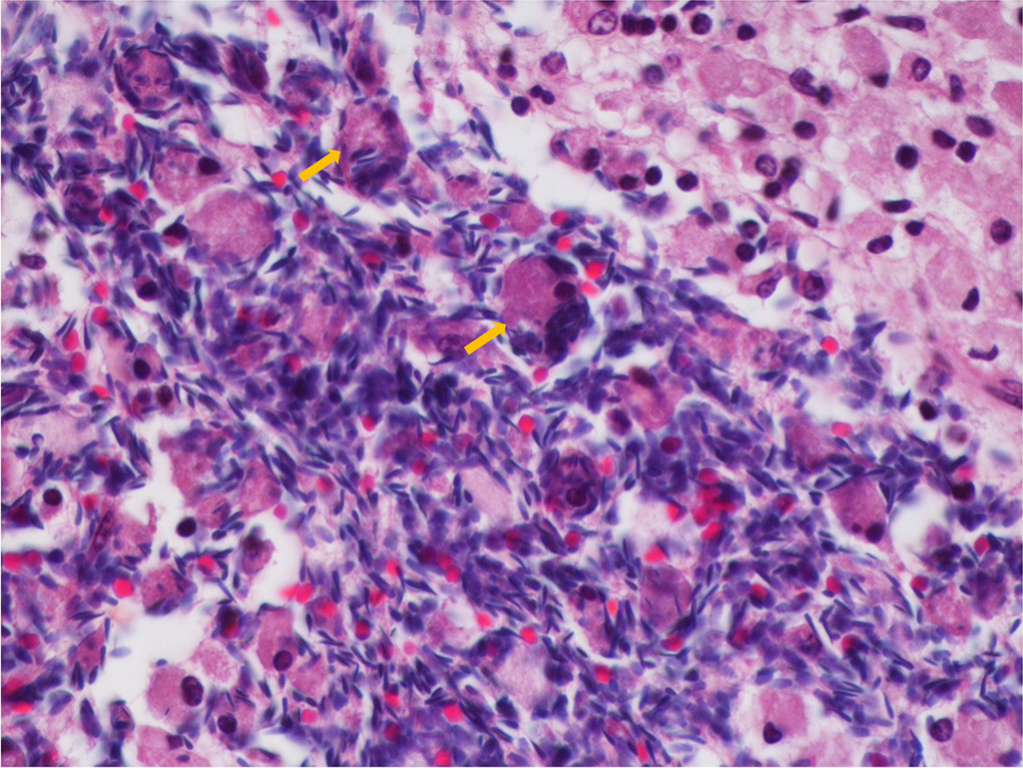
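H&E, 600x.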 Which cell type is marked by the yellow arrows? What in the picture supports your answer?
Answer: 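The marked cells are much larger than the surrounding cells. Each marked cell has abundant pink cytoplasm. So: multinucleated giant cells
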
